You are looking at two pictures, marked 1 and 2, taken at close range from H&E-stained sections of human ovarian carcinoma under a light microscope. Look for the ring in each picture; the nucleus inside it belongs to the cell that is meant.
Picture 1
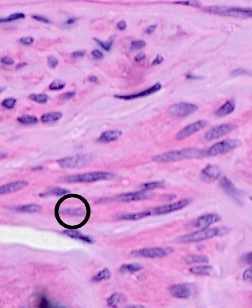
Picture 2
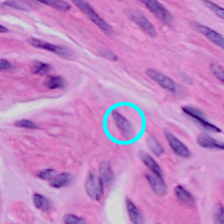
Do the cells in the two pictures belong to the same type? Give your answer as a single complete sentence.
Yes, the two pictures both show smooth muscle cells.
